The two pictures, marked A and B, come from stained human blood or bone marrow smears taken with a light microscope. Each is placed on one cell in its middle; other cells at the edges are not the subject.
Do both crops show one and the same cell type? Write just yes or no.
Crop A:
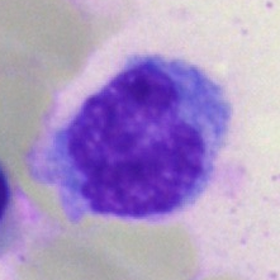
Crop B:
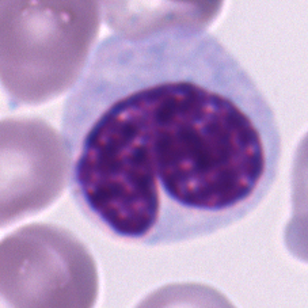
no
